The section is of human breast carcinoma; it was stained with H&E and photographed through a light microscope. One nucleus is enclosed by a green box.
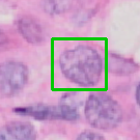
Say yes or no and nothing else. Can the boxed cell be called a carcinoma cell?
yes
